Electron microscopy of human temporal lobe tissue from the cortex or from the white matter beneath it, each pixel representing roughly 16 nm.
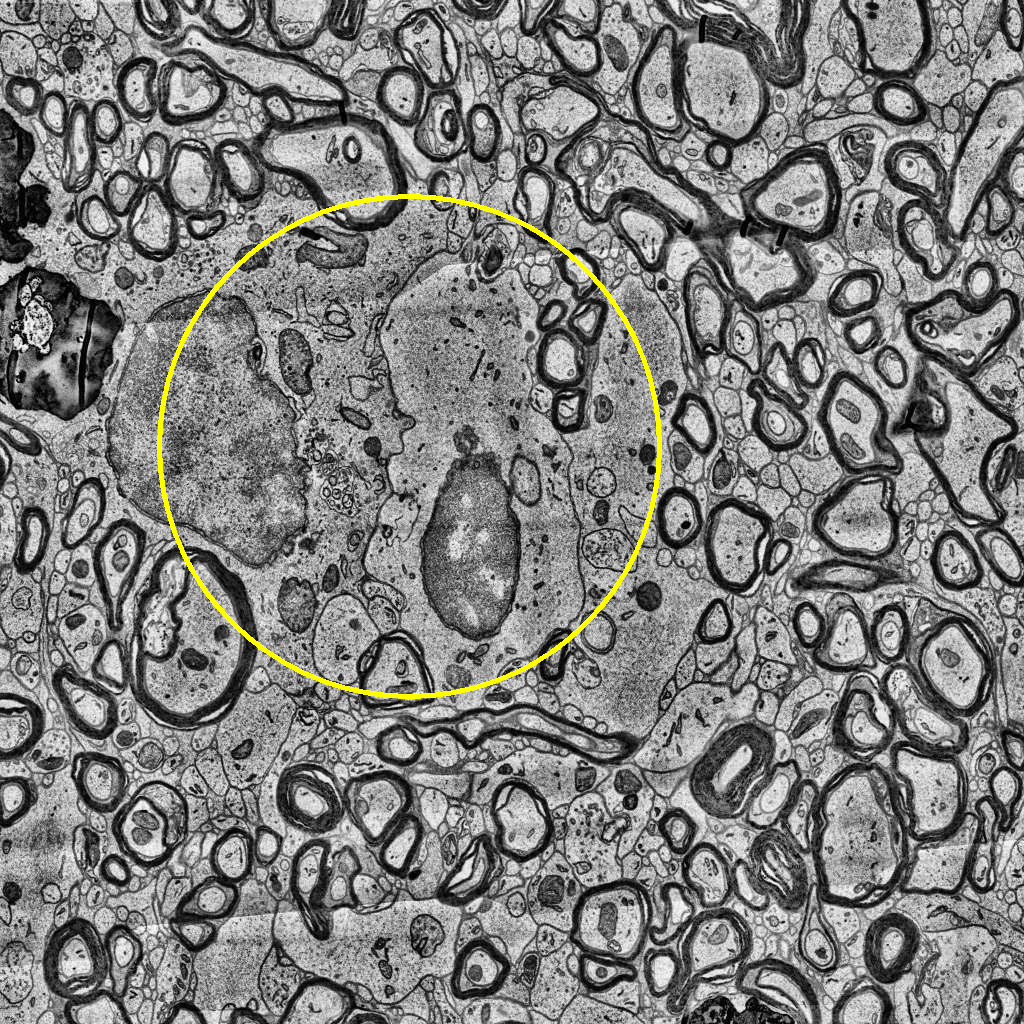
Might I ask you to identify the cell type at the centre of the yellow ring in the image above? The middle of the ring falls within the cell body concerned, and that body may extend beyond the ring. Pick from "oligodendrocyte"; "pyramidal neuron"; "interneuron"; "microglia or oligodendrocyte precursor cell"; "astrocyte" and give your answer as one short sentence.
The centre of the ring falls on a microglial cell or oligodendrocyte precursor cell.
